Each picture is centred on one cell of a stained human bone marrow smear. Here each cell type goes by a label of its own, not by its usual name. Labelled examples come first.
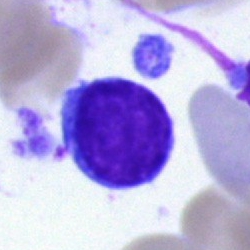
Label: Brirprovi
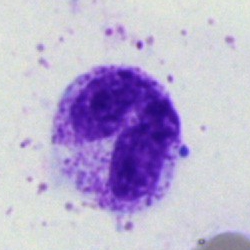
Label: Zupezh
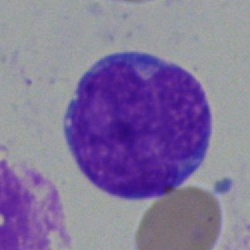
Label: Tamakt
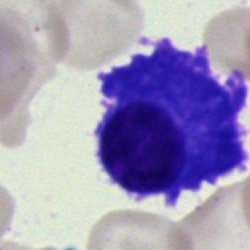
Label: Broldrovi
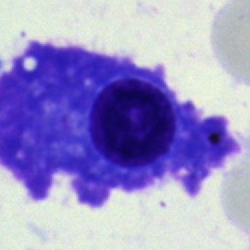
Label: Broldrovi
